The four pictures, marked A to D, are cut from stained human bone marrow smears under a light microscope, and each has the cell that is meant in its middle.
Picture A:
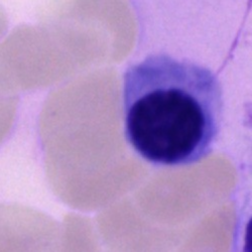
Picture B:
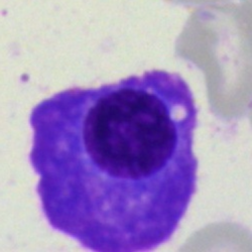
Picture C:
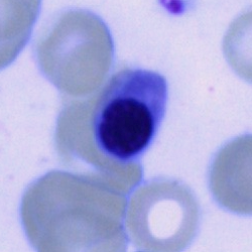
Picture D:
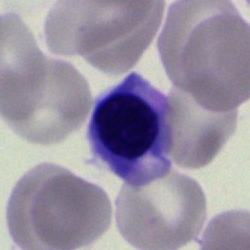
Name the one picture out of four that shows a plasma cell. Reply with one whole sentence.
The picture with the plasma cell is B.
